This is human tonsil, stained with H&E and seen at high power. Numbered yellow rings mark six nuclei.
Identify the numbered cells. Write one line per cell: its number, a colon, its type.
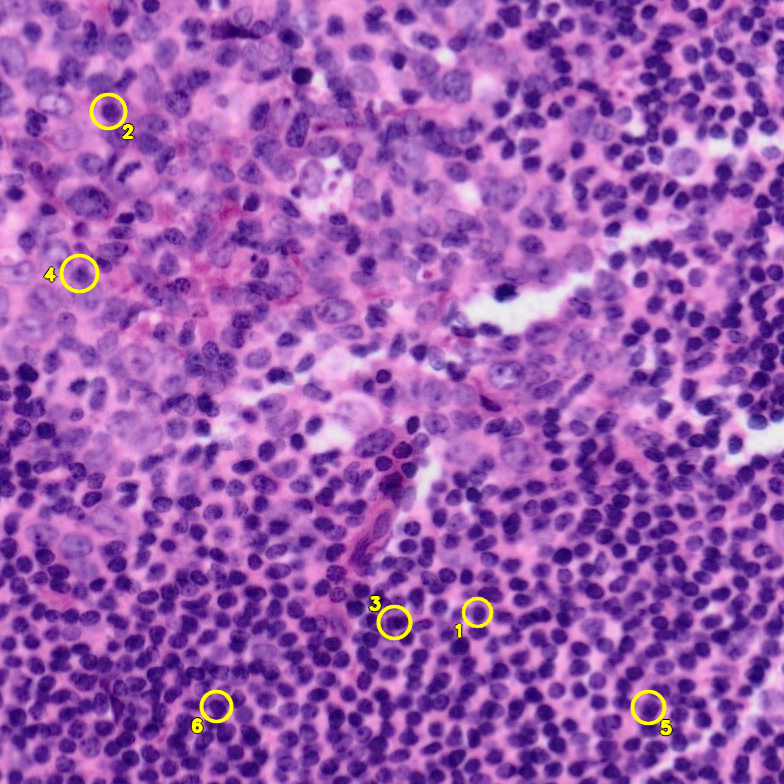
1: small lymphocyte
2: proliferating B cell
3: small lymphocyte
4: proliferating B cell
5: small lymphocyte
6: small lymphocyte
